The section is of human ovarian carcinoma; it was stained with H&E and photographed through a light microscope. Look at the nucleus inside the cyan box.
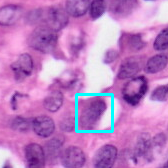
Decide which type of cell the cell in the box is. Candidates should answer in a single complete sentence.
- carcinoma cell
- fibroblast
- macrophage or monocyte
Labelled by cell type, the cell in the box is a carcinoma cell.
